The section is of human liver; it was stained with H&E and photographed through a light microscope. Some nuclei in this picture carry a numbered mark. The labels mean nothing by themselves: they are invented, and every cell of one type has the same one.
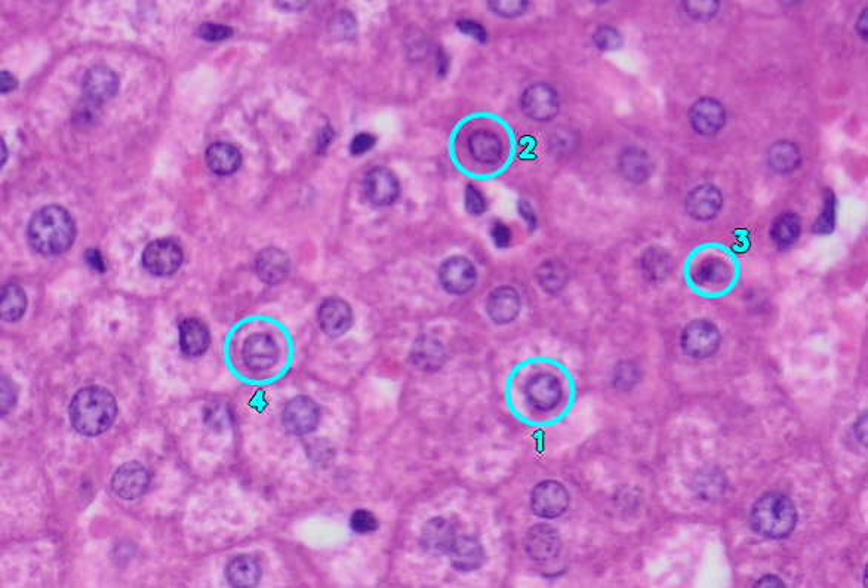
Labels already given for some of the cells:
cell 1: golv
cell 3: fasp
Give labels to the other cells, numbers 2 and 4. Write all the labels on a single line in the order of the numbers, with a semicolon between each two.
golv; golv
